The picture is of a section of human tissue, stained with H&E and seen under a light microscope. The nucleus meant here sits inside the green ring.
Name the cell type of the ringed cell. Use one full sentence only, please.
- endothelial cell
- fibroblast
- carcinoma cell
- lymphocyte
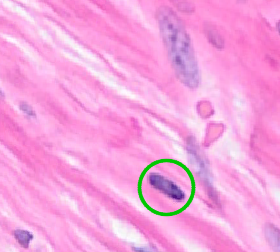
It is as a lymphocyte that the ringed cell is classified.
